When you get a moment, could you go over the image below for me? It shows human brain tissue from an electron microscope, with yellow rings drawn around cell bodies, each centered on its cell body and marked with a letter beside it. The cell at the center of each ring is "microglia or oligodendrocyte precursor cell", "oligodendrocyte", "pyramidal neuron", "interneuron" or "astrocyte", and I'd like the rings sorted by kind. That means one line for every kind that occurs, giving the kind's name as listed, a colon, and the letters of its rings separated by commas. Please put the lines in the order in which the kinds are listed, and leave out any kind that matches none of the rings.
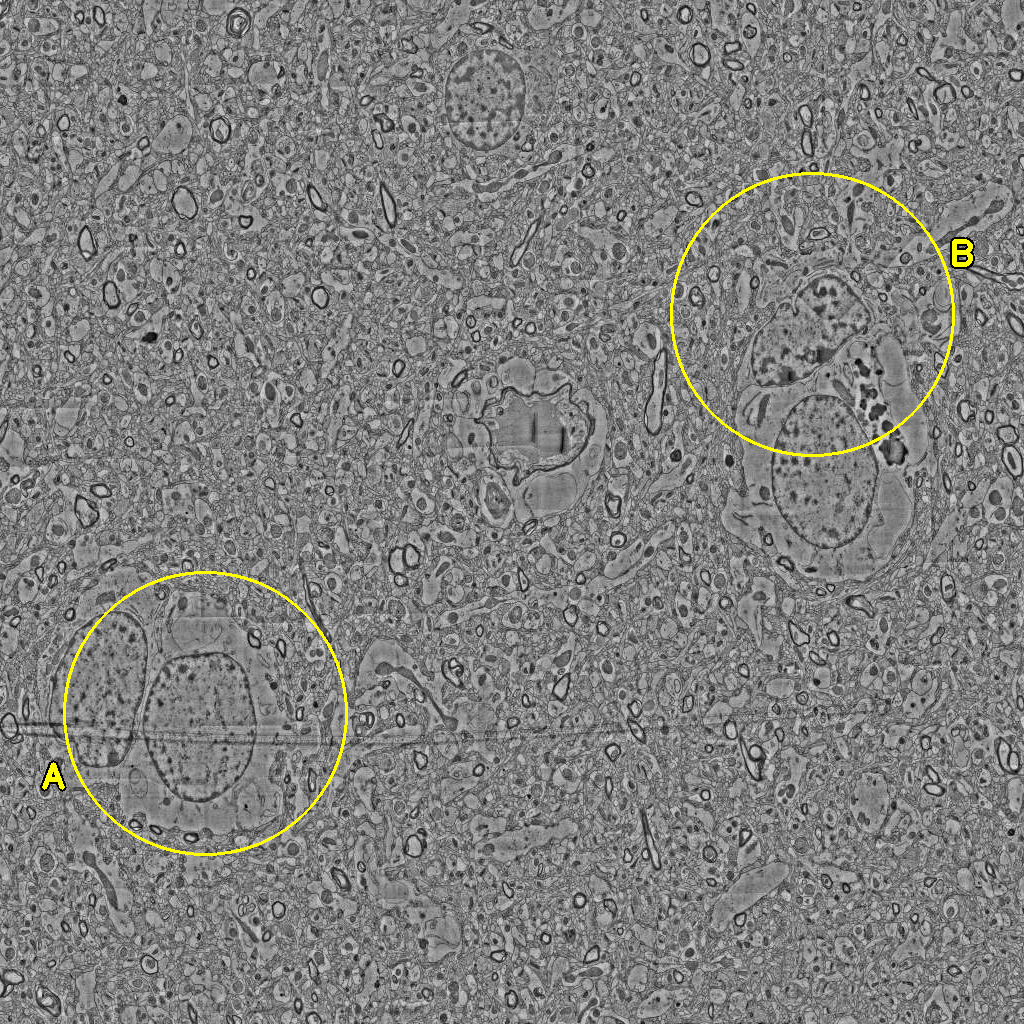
microglia or oligodendrocyte precursor cell: B
astrocyte: A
